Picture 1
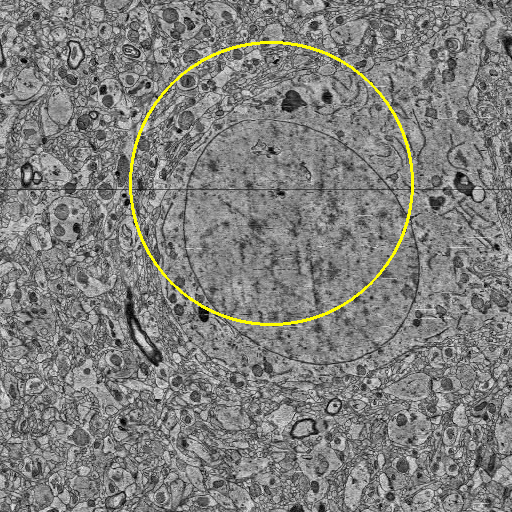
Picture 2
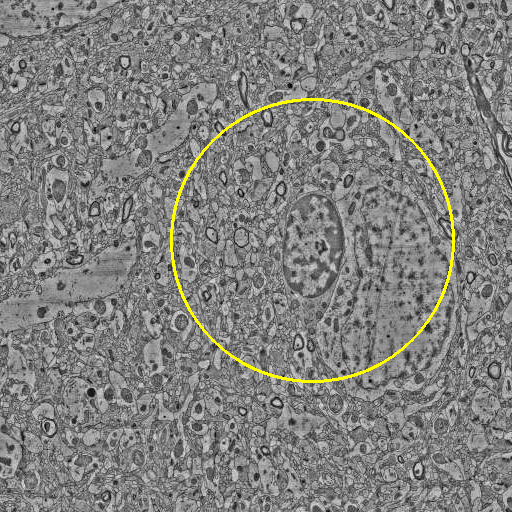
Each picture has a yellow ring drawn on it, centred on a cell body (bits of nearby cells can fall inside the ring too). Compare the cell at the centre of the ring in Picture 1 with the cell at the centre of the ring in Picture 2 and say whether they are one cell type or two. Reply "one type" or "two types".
two types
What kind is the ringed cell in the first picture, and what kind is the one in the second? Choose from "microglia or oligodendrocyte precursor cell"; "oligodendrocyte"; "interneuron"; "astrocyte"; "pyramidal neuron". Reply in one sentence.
The first cell is a pyramidal neuron; the second is an oligodendrocyte.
